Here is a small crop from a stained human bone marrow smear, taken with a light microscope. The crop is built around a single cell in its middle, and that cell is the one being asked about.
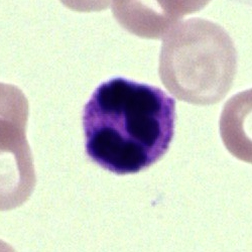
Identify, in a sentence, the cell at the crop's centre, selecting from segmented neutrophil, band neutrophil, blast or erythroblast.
Classification of the middle cell gives a segmented neutrophil.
